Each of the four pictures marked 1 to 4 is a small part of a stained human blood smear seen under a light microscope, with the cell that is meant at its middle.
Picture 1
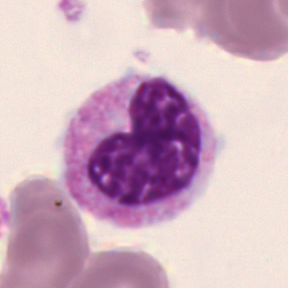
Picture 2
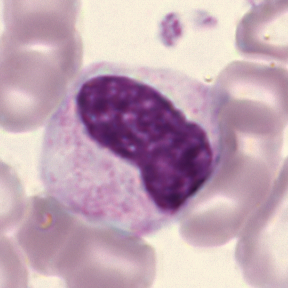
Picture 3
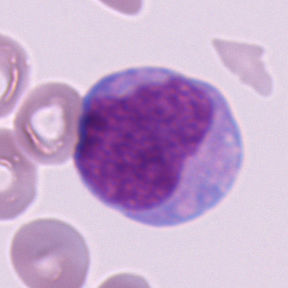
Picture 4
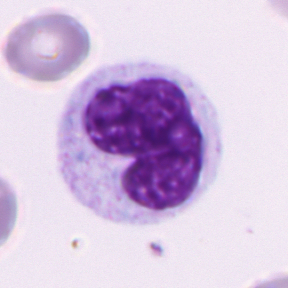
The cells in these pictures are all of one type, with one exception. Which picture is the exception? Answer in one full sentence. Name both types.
The others show metamyelocytes, but picture 3 shows an atypical promyelocyte.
